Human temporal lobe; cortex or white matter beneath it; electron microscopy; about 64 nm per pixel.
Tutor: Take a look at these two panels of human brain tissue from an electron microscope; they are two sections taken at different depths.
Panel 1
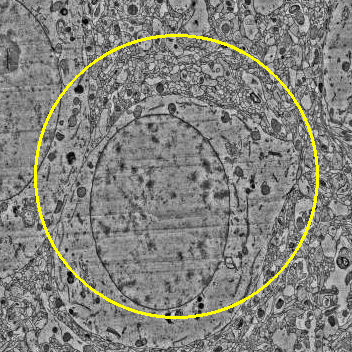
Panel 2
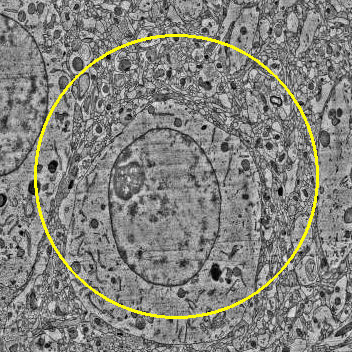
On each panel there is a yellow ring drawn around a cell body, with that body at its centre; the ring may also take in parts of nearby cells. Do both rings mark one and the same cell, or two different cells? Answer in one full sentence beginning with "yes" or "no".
Yes, the two marked outlines come from one and the same cell.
